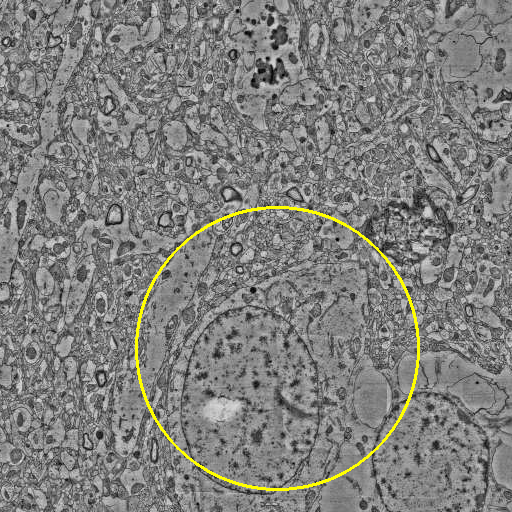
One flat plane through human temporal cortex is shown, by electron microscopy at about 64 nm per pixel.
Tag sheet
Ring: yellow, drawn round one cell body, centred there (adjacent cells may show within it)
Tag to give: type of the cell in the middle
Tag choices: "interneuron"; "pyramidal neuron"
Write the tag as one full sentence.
I tag the cell centred in the yellow ring as a pyramidal neuron in this picture.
